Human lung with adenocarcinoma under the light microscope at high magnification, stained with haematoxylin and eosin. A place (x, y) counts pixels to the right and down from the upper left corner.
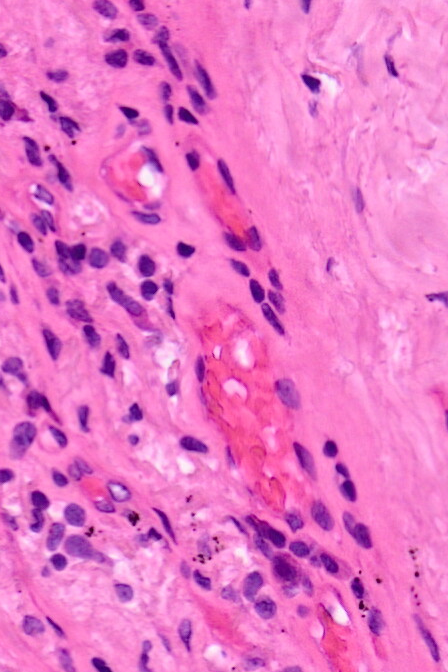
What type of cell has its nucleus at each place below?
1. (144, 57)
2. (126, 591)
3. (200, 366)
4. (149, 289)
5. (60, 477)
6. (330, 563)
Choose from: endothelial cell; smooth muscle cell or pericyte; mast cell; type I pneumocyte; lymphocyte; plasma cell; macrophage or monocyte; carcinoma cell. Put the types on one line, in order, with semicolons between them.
plasma cell; lymphocyte; endothelial cell; lymphocyte; lymphocyte; plasma cell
